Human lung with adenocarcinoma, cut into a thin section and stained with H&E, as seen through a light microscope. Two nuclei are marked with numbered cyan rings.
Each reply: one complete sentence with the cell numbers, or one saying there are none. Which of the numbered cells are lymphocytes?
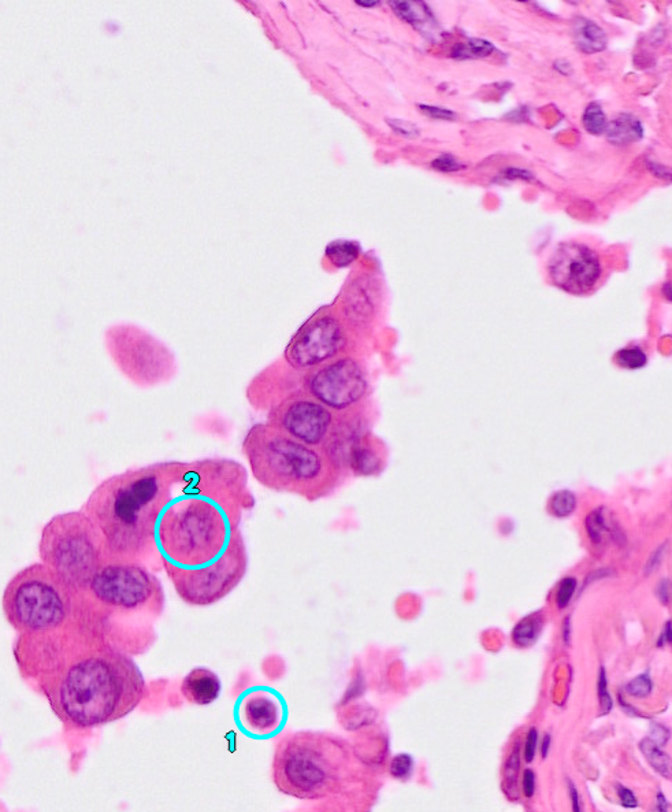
Only nucleus 1 belongs to a lymphocyte; the other numbered nuclei do not.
